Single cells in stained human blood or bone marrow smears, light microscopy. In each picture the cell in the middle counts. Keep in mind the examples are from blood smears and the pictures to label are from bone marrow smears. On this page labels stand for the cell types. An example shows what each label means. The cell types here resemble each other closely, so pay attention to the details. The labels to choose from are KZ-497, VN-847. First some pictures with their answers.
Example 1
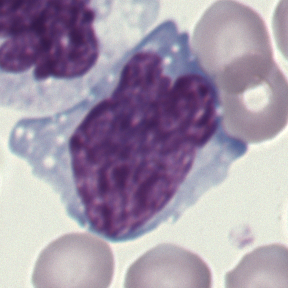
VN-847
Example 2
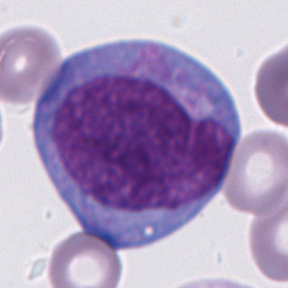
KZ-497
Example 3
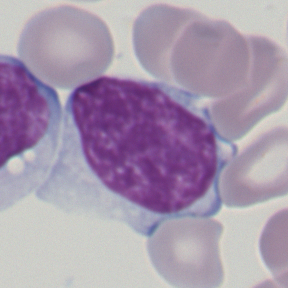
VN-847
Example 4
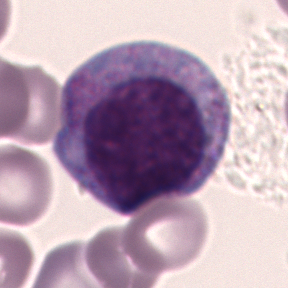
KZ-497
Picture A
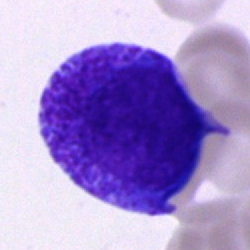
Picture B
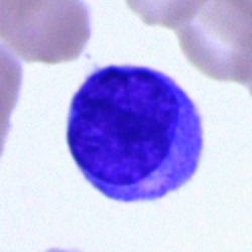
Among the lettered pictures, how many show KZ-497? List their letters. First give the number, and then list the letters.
Count: 1 (A)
